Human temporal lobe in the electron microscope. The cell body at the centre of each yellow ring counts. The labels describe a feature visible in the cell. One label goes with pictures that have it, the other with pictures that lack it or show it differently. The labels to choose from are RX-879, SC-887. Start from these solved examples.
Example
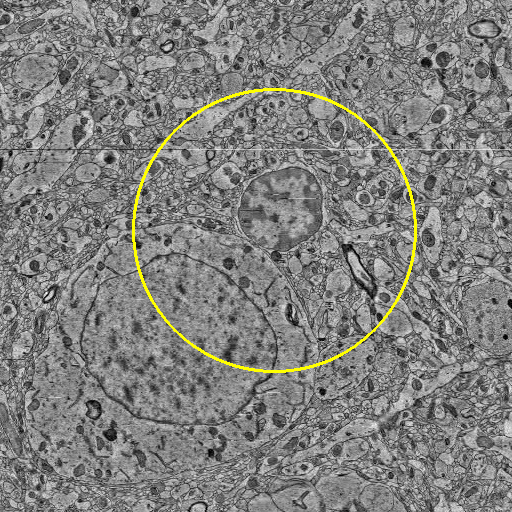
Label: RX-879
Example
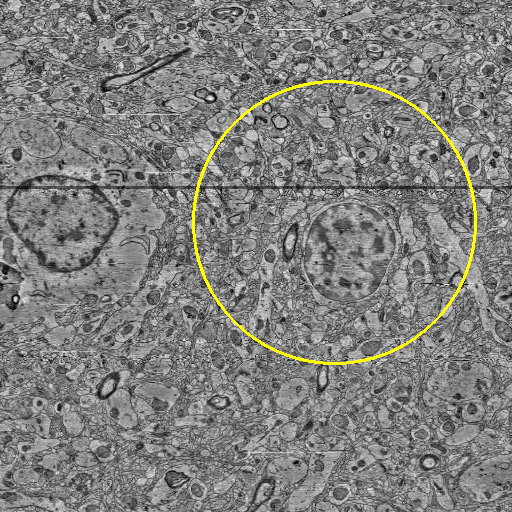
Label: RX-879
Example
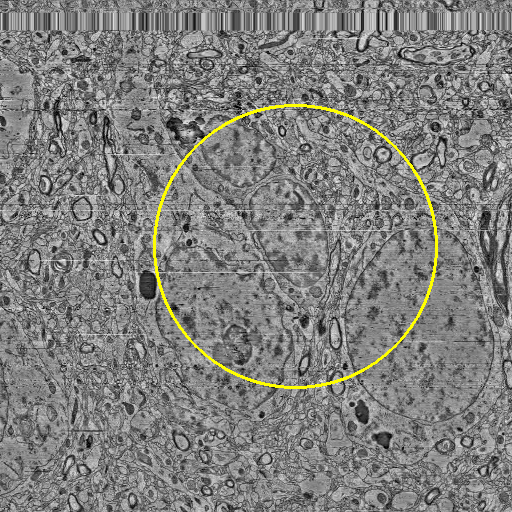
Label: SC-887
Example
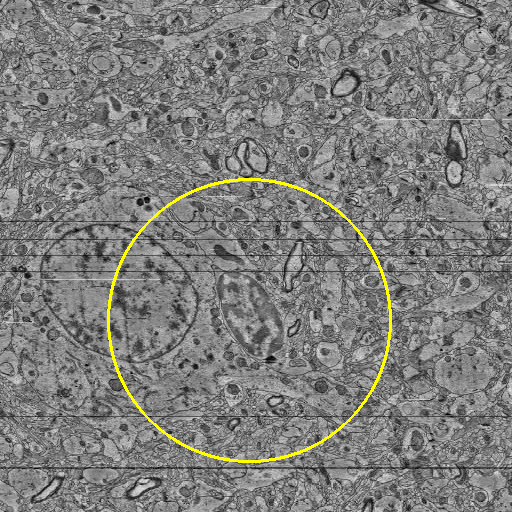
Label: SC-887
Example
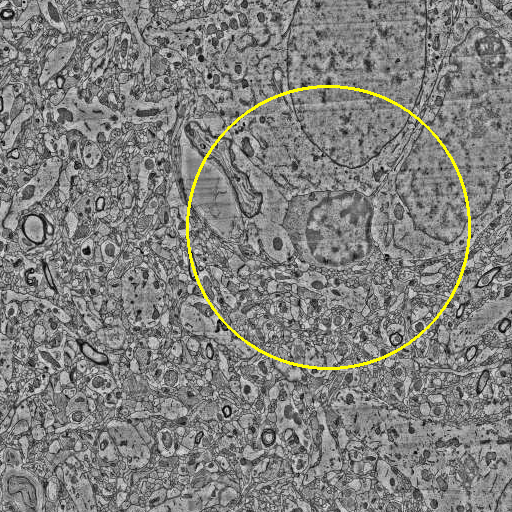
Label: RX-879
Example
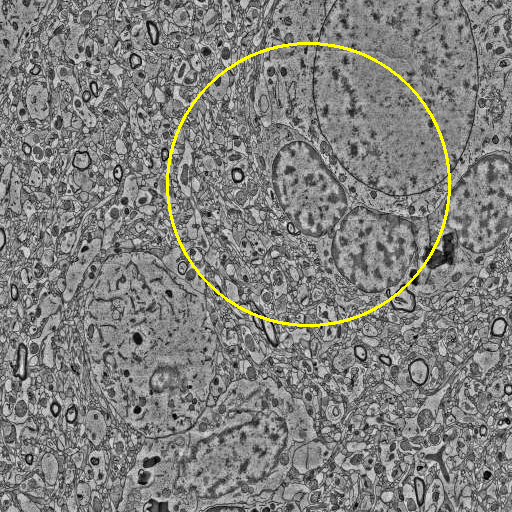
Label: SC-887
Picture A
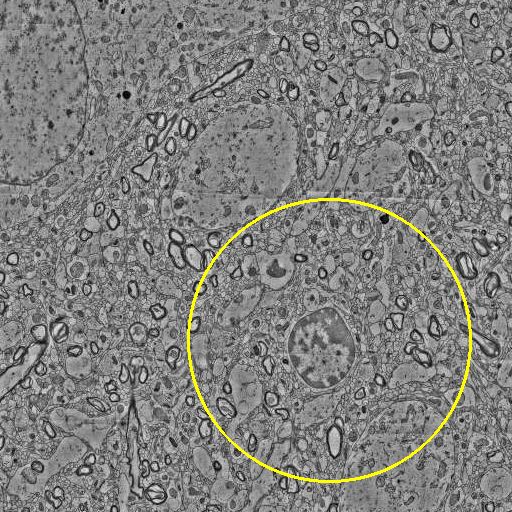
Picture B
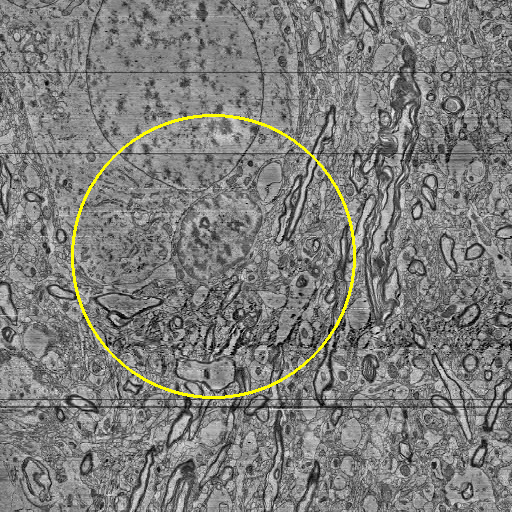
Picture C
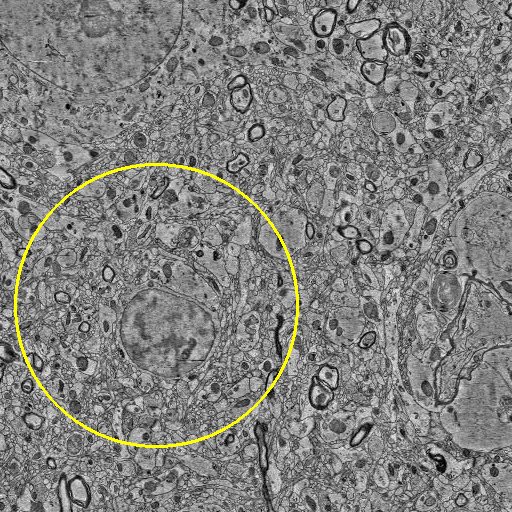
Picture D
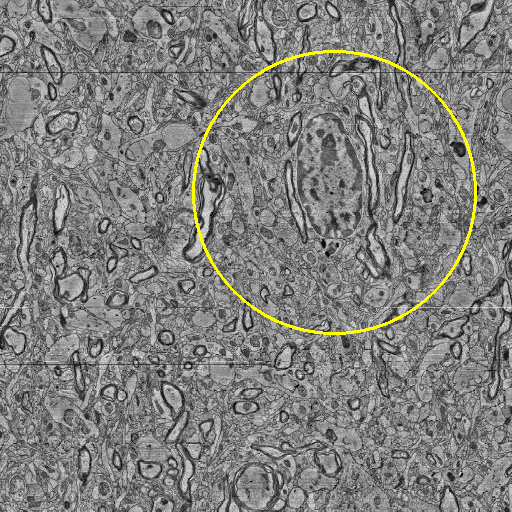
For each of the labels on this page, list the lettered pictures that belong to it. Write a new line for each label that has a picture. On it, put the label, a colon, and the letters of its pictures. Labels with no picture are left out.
RX-879: A, B, C
SC-887: D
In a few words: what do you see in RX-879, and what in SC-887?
RX-879, round or nearly round nuclei; SC-887, clearly elongated nuclei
